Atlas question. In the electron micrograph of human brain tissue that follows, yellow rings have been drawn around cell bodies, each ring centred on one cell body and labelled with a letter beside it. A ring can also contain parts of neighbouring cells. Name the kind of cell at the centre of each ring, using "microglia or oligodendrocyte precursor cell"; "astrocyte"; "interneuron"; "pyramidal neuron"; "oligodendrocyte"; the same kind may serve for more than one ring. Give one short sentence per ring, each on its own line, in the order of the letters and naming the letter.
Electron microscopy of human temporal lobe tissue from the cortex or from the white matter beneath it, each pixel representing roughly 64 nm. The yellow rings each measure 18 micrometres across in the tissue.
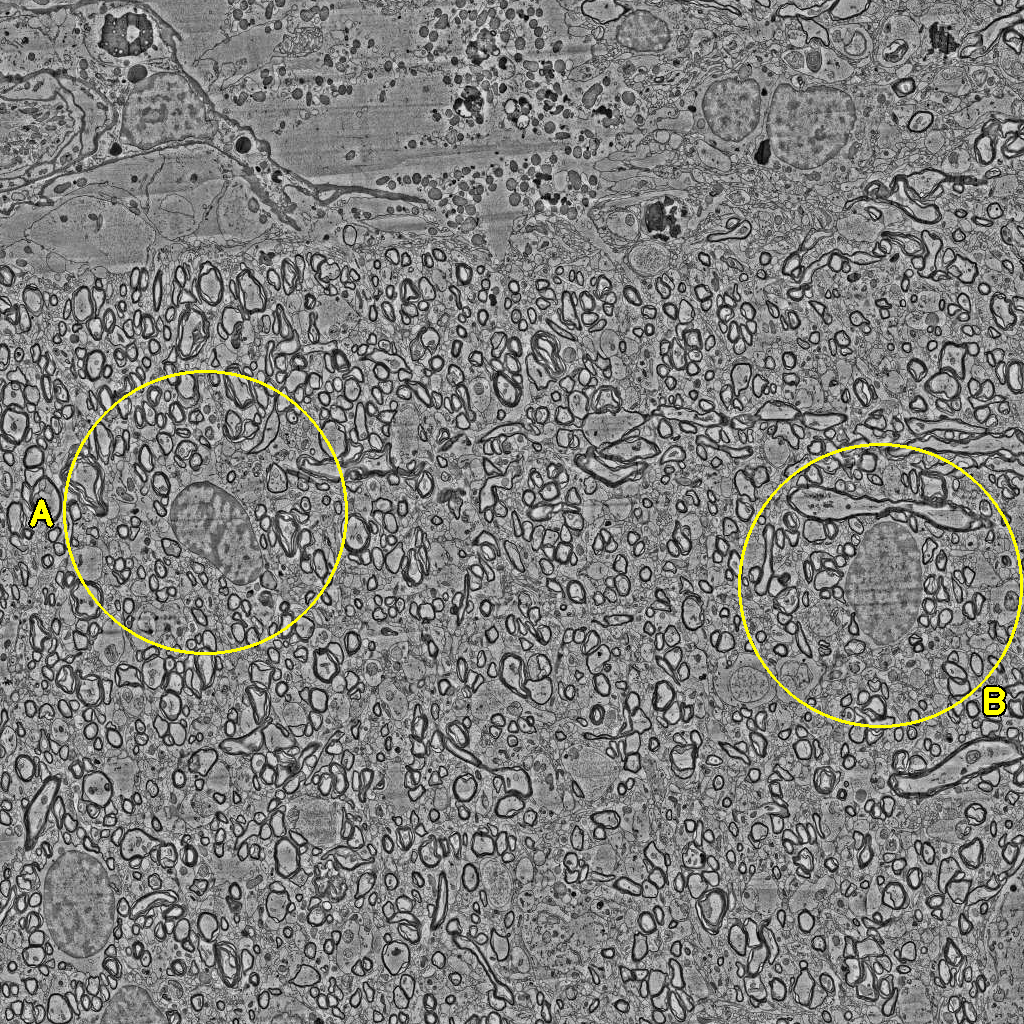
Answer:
For ring A, the cell at the centre is a microglial cell or oligodendrocyte precursor cell.
For ring B, the cell at the centre is an oligodendrocyte.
